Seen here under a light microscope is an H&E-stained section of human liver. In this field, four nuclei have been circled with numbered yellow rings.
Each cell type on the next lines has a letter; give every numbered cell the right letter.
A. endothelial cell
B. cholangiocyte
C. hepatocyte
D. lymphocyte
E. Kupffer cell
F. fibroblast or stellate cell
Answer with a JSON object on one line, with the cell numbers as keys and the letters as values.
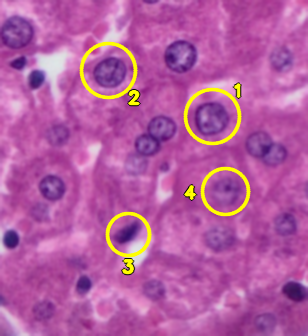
{"1": "C", "2": "C", "3": "F", "4": "C"}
